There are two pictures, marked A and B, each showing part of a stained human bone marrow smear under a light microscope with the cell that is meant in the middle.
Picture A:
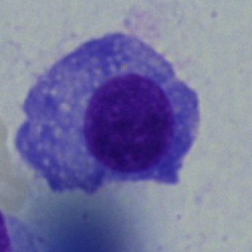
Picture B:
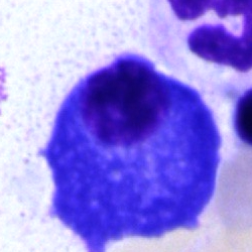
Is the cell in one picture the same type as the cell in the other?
yes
